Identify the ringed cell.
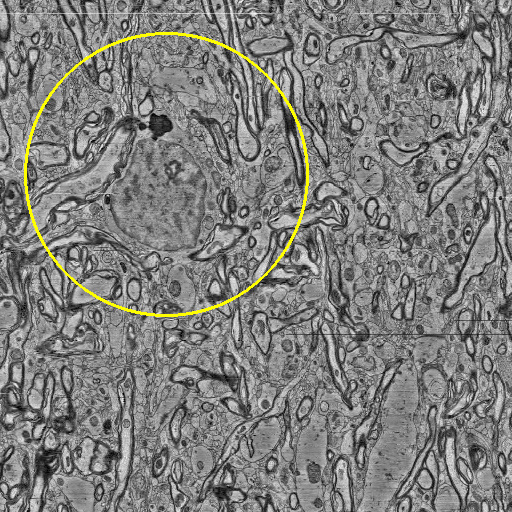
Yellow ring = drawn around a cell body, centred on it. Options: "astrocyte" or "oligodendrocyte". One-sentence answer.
What the ring is centred on is an oligodendrocyte.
